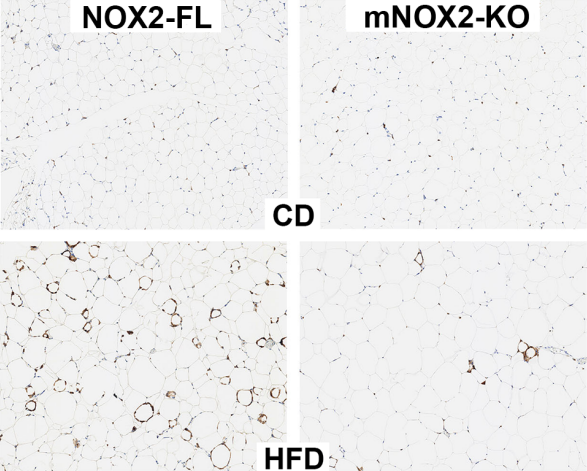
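Four fields of adipose tissue show closely packed large adipocytes. Each adipocyte appears as an empty polygonal space bounded by a thin membrane, with scattered small blue nuclei at the cell borders. In the lower left field, many brown-stained rings encircle individual adipocytes as crown-like structures, while the other fields show only a few scattered brown cells.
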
